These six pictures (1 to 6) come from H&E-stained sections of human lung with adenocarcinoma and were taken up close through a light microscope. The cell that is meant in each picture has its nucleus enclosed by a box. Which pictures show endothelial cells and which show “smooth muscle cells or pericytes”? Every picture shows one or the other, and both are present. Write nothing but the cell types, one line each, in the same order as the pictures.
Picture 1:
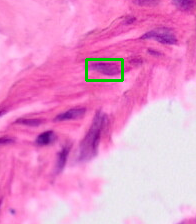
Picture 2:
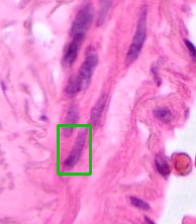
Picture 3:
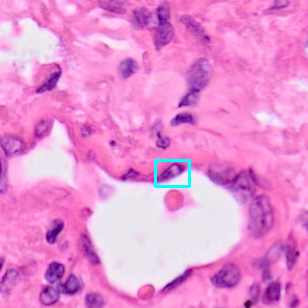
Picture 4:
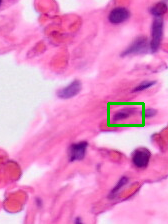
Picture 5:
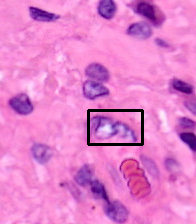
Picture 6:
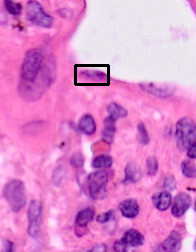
smooth muscle cell or pericyte
smooth muscle cell or pericyte
endothelial cell
endothelial cell
endothelial cell
endothelial cell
